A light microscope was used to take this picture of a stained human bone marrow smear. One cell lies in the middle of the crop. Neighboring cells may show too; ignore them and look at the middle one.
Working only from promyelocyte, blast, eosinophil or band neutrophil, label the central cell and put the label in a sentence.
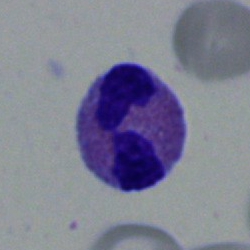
The central cell in this smear crop is an eosinophil.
